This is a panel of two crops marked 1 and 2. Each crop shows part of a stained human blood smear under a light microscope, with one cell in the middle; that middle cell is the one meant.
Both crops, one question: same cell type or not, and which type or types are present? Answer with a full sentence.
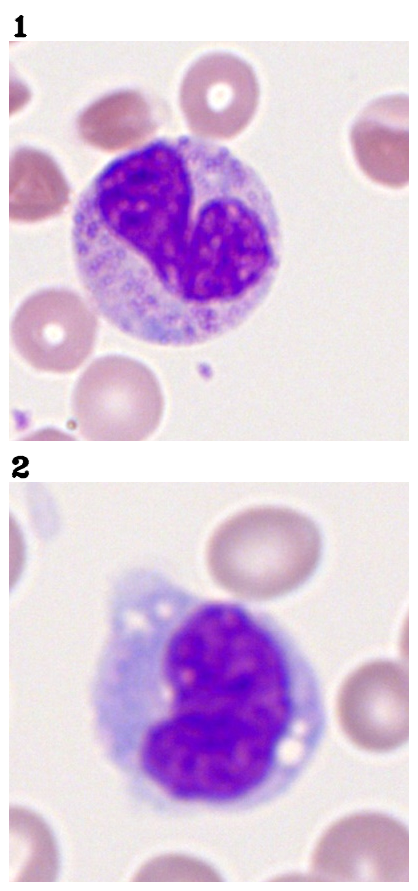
Yes, both crops in the pair show monocytes.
